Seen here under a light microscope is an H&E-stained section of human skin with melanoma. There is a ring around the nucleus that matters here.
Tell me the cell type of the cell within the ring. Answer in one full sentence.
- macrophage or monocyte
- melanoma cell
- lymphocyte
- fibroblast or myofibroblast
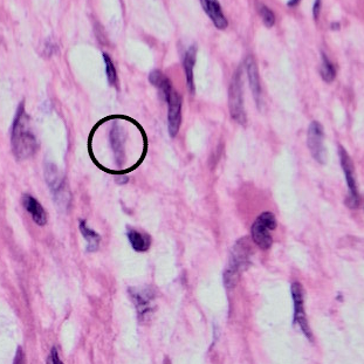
For cell typing purposes, the cell within the ring is a fibroblast or myofibroblast.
